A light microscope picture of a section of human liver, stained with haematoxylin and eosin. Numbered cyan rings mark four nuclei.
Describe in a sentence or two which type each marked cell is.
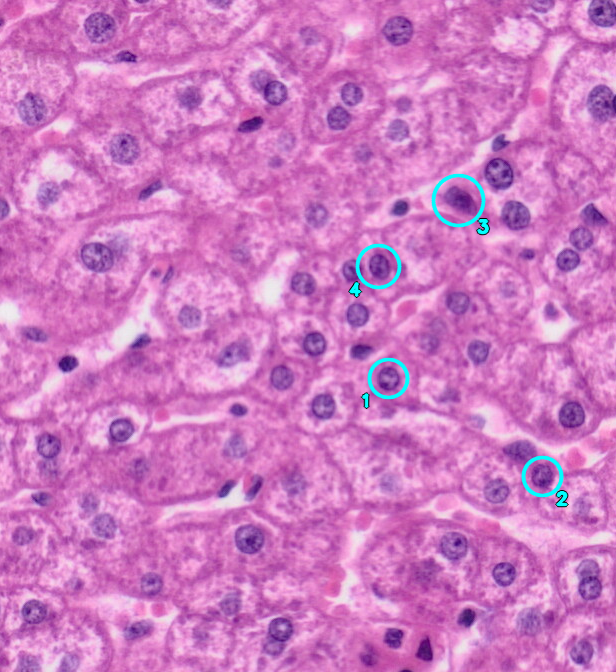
Cell 1 is a hepatocyte, cell 2 is a hepatocyte, cell 3 is a Kupffer cell and cell 4 is a hepatocyte.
